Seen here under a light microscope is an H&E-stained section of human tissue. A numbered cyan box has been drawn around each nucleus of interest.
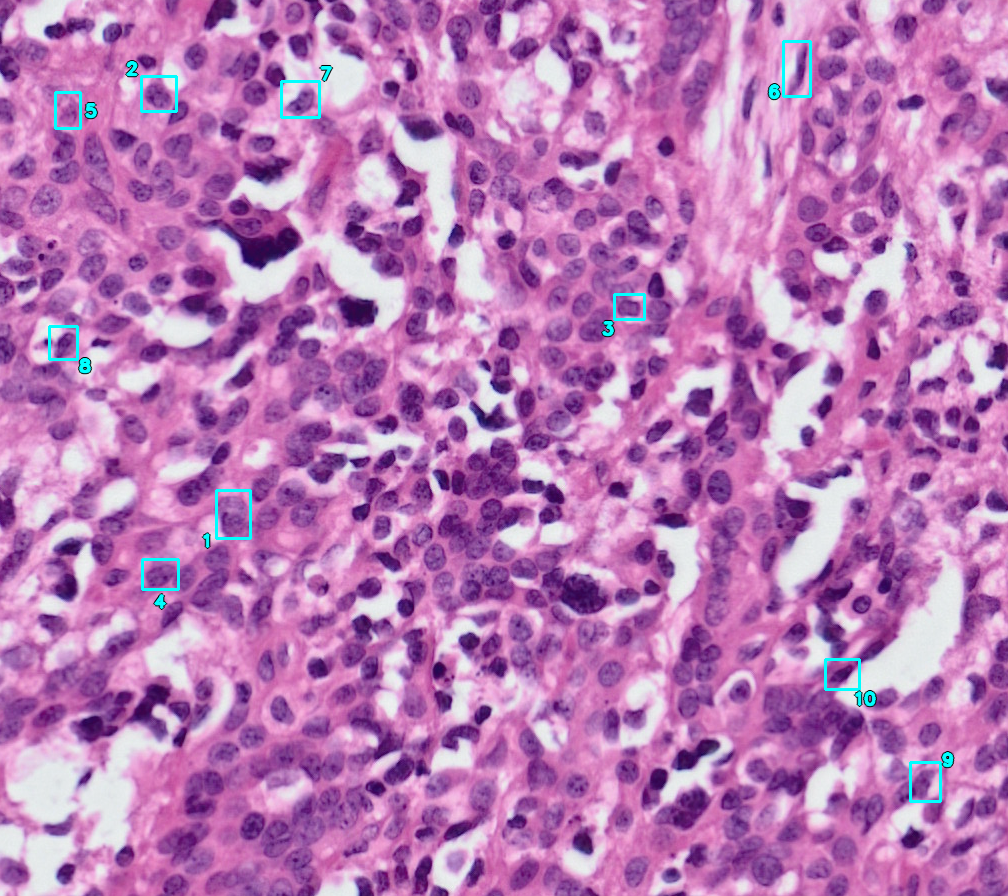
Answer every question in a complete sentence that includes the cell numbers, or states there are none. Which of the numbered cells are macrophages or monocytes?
In this section, the cells numbered 2, 7 and 8 are macrophages or monocytes.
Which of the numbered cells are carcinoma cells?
The cells labelled 1, 3, 4, 5, 9 and 10 in this section are carcinoma cells.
